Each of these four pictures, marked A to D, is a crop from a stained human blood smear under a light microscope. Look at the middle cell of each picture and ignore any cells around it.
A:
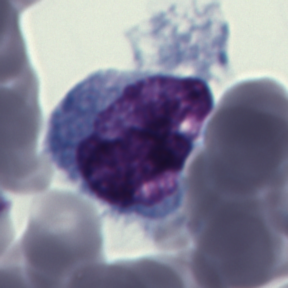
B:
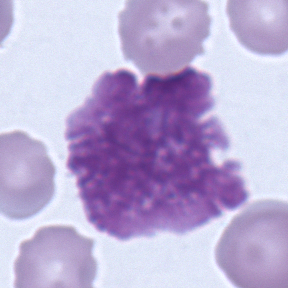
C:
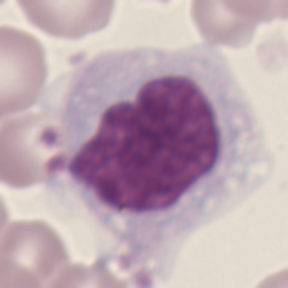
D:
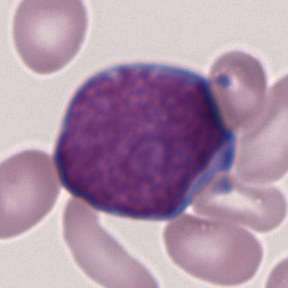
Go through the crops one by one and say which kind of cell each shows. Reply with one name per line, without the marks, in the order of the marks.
monocyte
smudge cell
monocyte
myeloblast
